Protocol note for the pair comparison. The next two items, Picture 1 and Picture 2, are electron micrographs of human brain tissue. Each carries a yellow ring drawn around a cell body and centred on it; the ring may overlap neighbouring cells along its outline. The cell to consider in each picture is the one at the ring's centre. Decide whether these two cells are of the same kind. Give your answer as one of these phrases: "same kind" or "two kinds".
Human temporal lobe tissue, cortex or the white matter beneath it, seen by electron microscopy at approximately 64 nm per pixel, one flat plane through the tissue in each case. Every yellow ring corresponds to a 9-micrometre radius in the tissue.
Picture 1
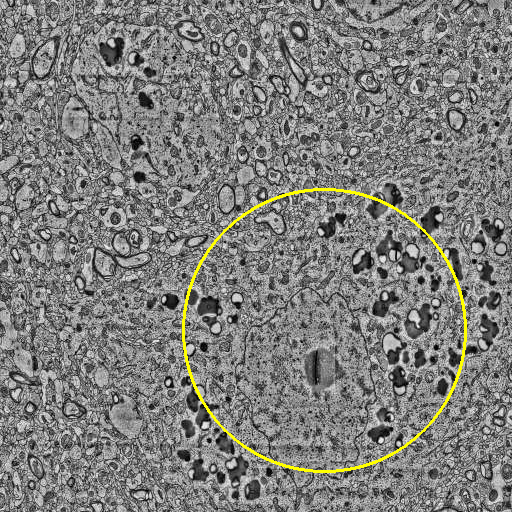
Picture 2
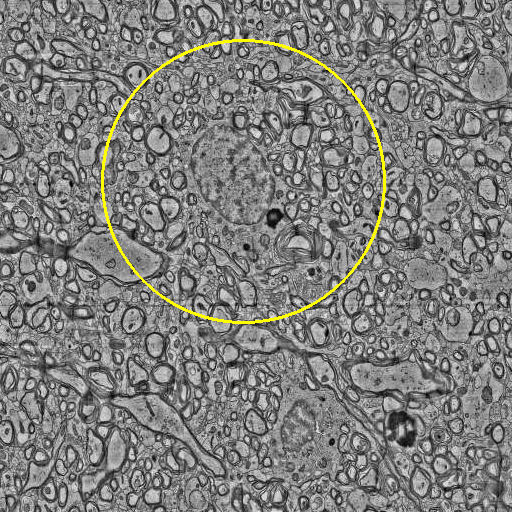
two kinds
